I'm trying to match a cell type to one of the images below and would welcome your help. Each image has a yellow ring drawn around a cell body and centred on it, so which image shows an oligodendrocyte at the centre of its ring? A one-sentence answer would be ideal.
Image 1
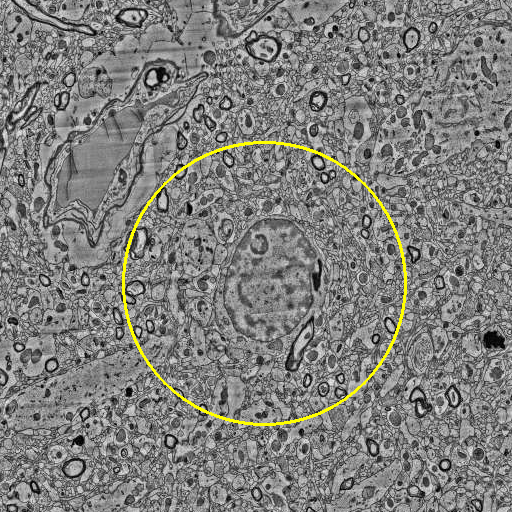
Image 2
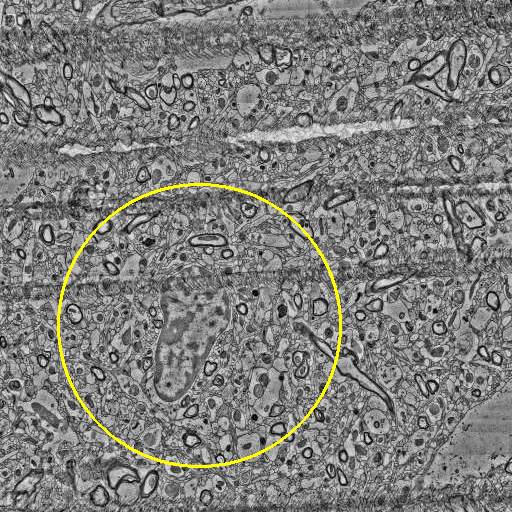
Image 1 shows it at the centre of the ring.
